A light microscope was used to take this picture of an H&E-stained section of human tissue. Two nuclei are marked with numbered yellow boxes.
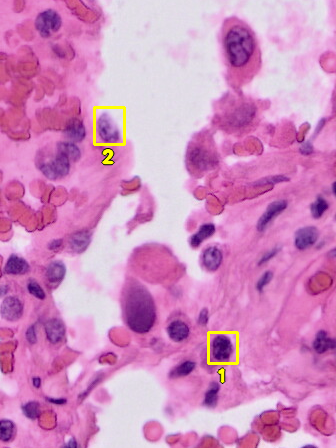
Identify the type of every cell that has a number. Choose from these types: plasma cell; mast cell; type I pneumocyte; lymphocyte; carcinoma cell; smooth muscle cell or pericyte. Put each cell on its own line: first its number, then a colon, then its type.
1: plasma cell
2: type I pneumocyte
